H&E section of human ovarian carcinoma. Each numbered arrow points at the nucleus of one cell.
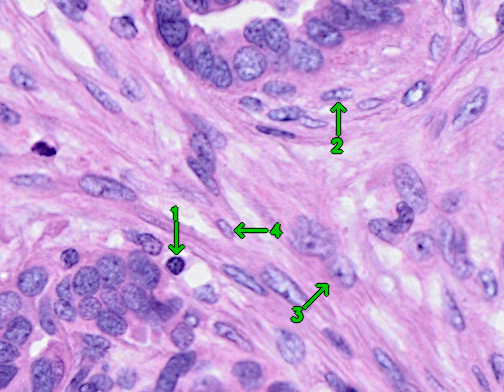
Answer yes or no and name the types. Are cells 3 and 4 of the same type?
Yes, both are fibroblasts.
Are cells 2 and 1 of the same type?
No, cell 2 is a fibroblast and cell 1 is a lymphocyte.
